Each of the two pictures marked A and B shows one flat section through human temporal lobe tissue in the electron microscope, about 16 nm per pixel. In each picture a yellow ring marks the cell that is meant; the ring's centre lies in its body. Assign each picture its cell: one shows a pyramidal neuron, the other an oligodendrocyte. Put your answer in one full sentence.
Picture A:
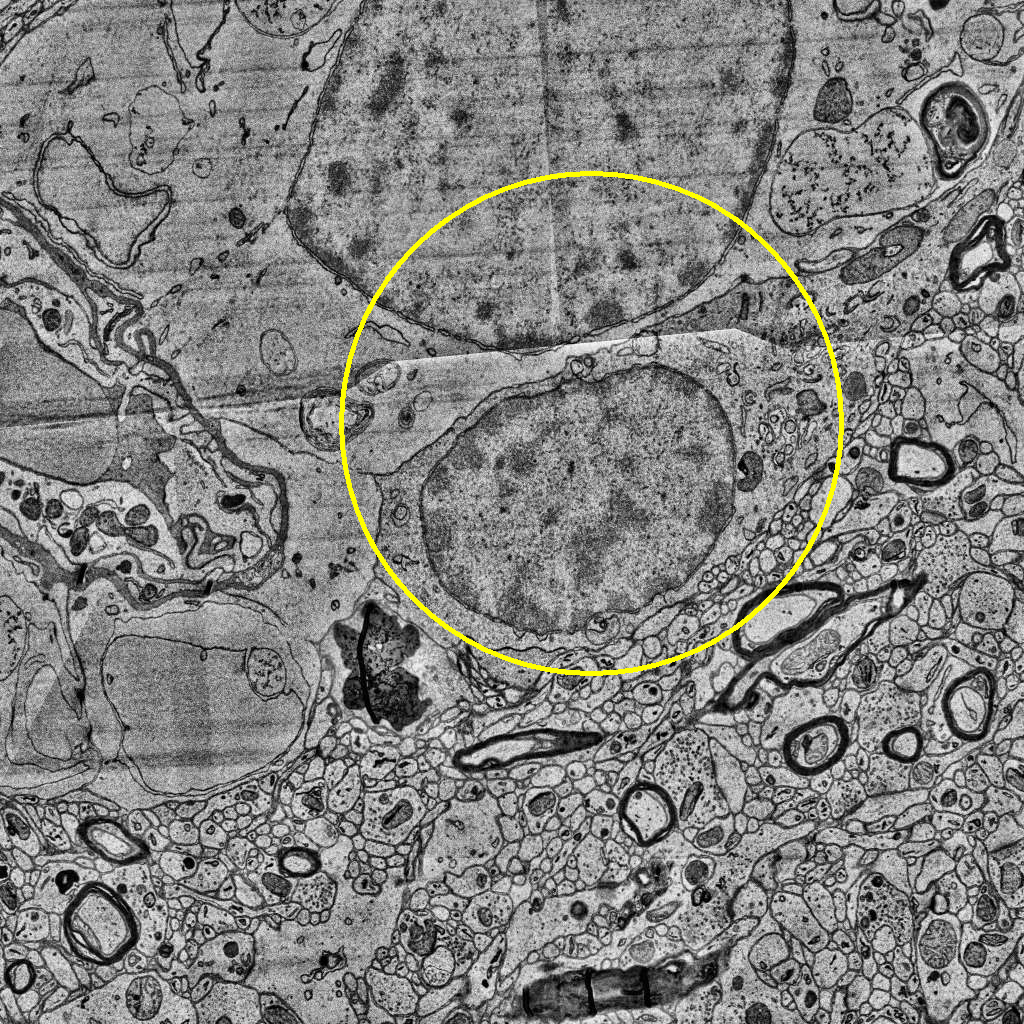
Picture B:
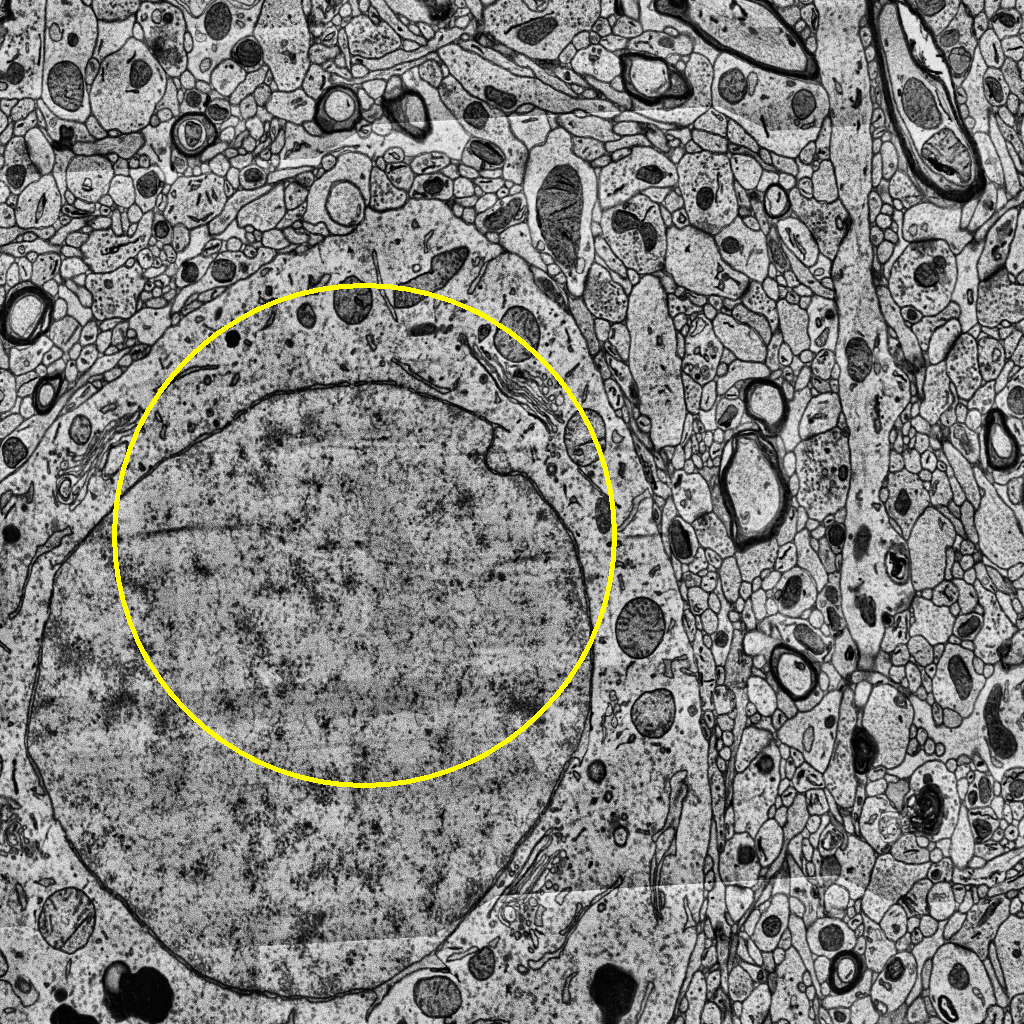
Picture A shows an oligodendrocyte and picture B shows a pyramidal neuron.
